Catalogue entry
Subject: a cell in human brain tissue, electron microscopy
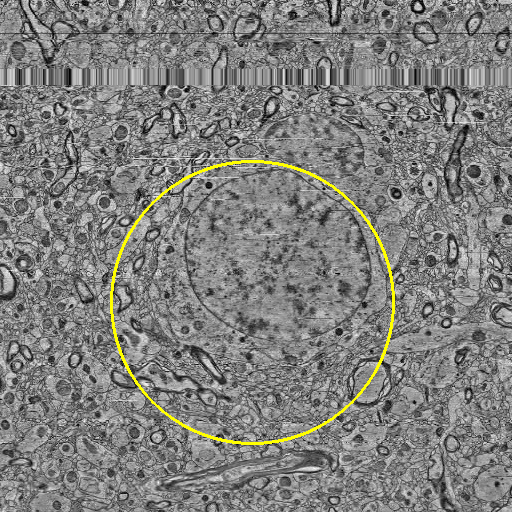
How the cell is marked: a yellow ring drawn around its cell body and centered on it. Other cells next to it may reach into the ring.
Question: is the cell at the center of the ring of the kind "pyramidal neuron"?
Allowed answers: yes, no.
yes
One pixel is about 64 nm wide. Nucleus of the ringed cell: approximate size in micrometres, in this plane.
In this plane, the nucleus of the cell at the centre of the ring measures about 13 by 11 micrometres.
